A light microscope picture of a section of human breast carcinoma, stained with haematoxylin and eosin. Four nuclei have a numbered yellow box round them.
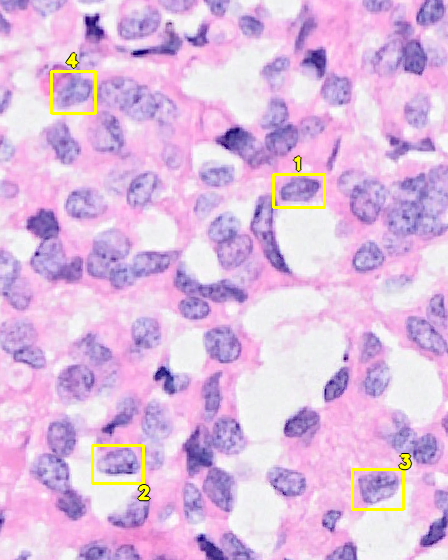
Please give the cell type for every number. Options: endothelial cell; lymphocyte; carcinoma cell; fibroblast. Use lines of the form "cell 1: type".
cell 1: carcinoma cell
cell 2: carcinoma cell
cell 3: carcinoma cell
cell 4: endothelial cell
